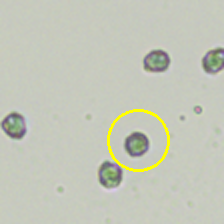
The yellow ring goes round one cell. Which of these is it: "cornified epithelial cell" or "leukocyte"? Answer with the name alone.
leukocyte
